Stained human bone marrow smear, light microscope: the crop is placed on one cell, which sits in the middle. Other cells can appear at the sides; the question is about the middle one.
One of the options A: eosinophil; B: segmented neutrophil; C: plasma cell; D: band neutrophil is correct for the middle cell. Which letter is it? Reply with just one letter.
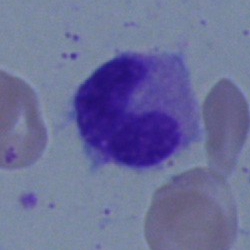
D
